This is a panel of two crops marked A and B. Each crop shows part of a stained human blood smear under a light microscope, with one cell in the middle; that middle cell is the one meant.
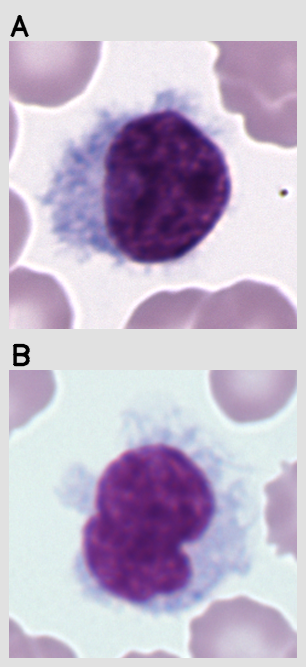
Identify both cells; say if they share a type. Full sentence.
Yes, in the middle of both crops, hairy cells are shown.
